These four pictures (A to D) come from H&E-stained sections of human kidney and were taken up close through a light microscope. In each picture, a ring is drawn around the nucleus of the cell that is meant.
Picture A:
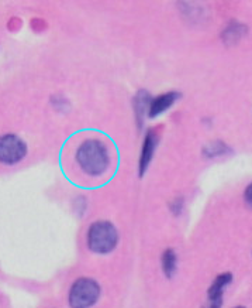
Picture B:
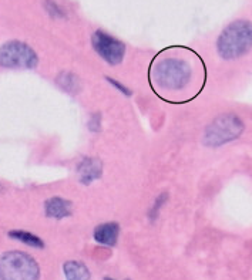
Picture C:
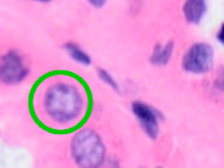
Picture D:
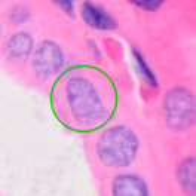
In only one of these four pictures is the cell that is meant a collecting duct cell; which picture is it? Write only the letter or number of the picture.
D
